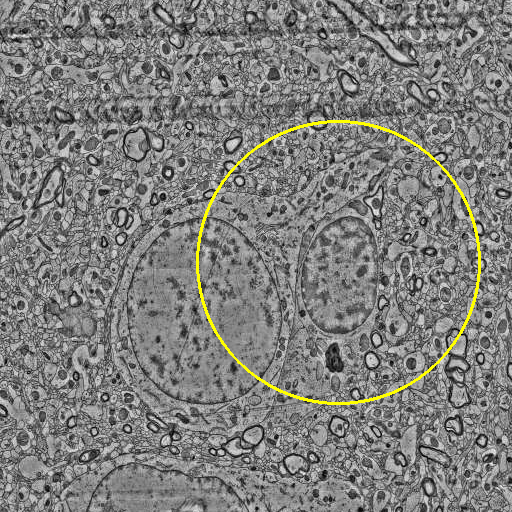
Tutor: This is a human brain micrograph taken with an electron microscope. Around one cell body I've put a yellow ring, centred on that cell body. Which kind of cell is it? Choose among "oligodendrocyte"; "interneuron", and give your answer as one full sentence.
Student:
Going by your list, the cell centred in the yellow ring is an oligodendrocyte.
